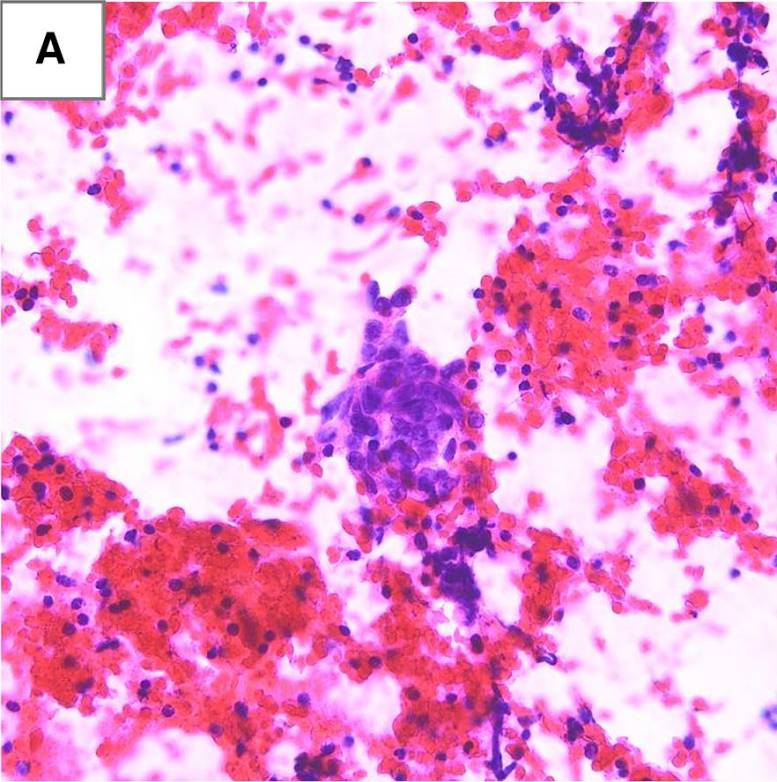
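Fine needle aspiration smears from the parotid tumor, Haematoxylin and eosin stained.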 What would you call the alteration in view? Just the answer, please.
Lymphocytic background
